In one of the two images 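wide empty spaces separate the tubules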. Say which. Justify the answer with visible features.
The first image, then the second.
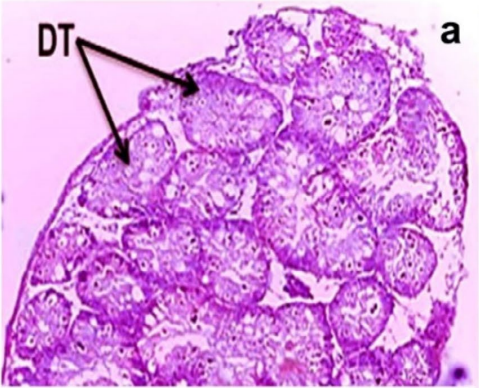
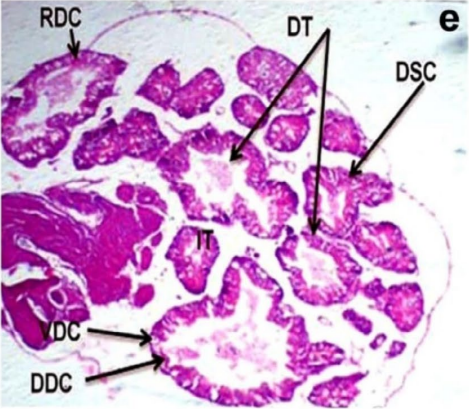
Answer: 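First image: tubules are packed closely with only thin strands between them. So: the second image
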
